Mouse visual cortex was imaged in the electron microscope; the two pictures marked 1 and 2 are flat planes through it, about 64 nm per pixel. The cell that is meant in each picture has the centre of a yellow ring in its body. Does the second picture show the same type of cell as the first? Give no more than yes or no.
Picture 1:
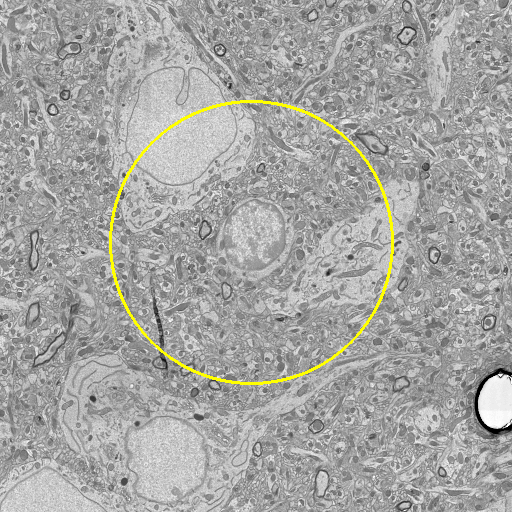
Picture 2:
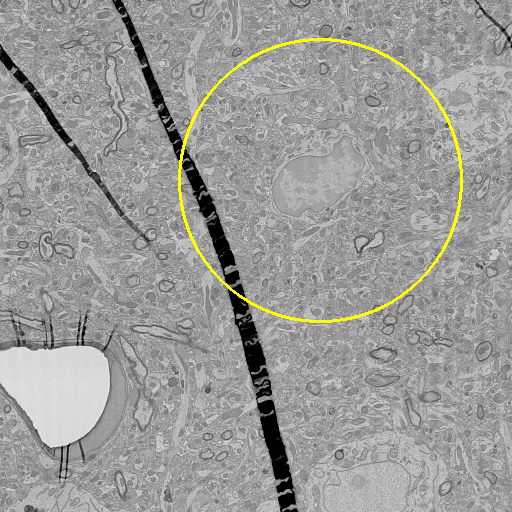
no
